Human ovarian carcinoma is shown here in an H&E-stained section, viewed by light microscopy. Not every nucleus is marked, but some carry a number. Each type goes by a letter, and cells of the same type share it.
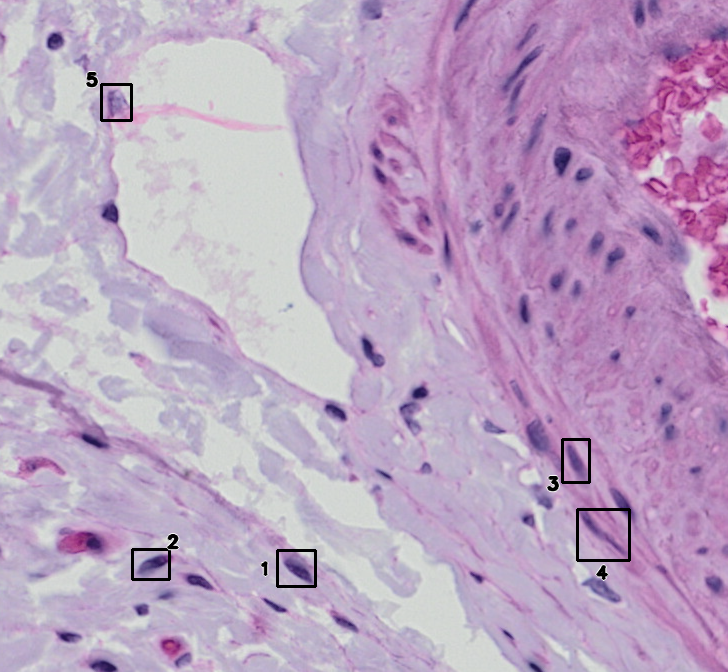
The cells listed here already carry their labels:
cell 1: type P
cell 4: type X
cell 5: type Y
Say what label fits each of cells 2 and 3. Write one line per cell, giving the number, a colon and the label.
2: type P
3: type X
